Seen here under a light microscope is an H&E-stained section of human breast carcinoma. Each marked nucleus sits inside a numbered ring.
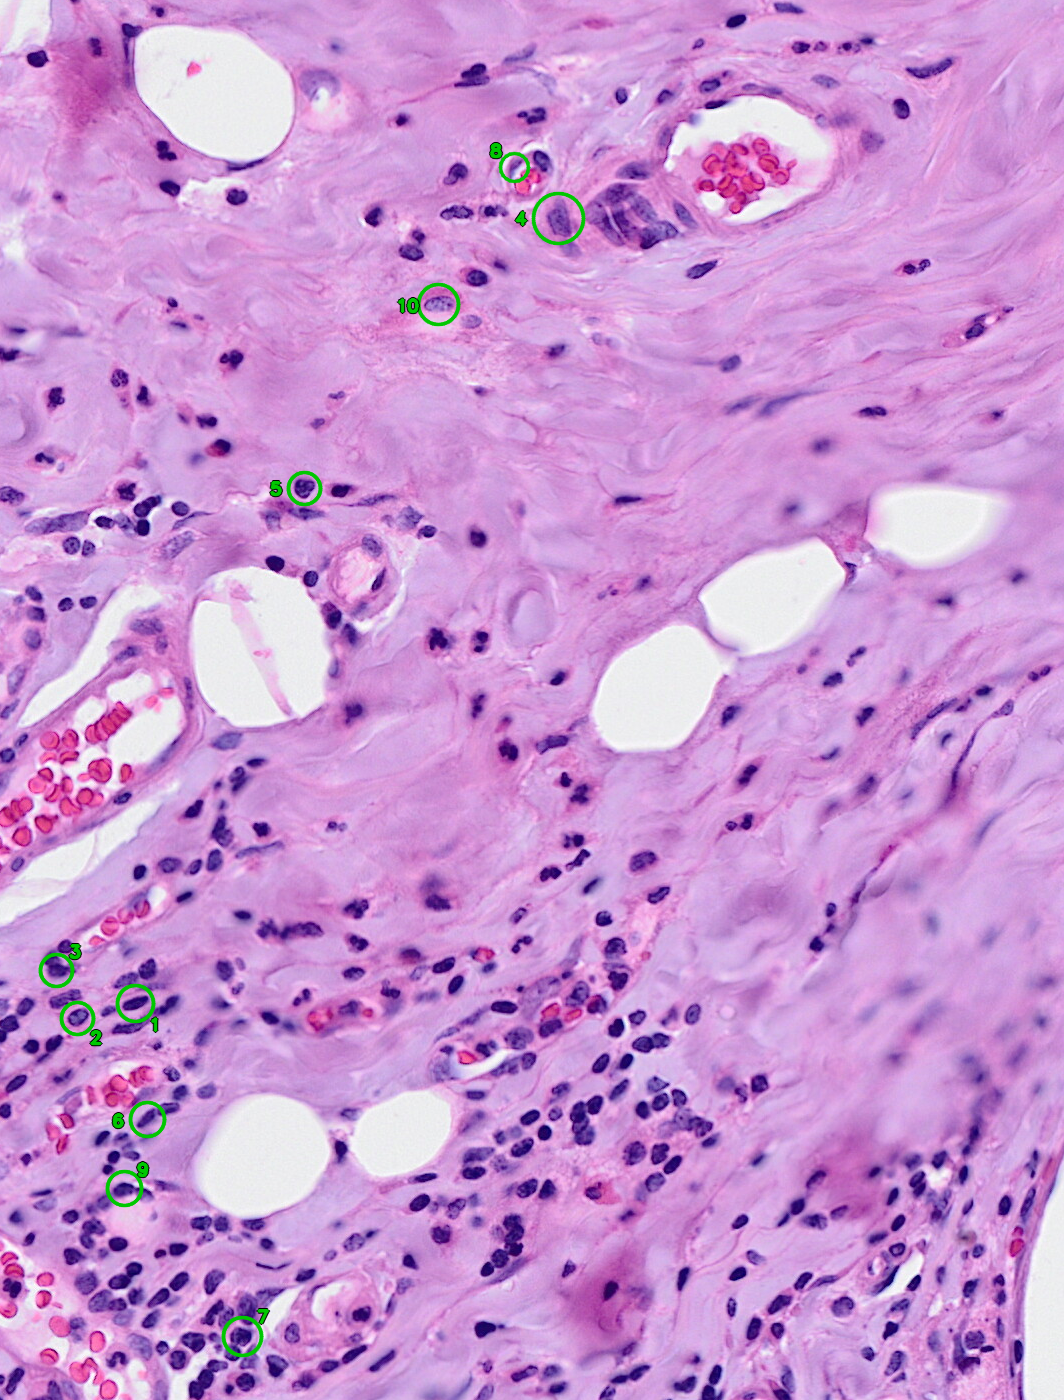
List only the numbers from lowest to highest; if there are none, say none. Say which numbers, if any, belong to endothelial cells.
4, 8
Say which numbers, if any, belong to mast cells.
2, 10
